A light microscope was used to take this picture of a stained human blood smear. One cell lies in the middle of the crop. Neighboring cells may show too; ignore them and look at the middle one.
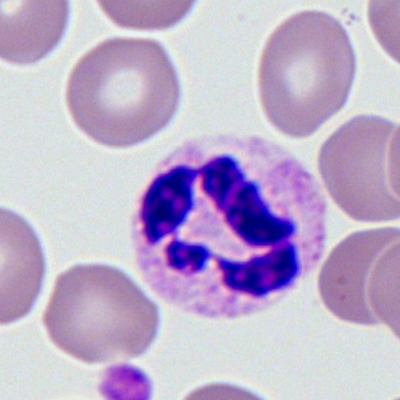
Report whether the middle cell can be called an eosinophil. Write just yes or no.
no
